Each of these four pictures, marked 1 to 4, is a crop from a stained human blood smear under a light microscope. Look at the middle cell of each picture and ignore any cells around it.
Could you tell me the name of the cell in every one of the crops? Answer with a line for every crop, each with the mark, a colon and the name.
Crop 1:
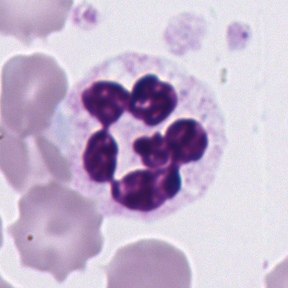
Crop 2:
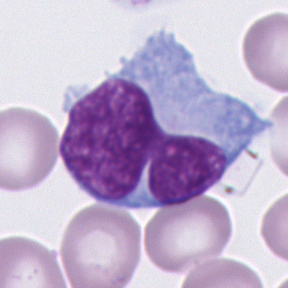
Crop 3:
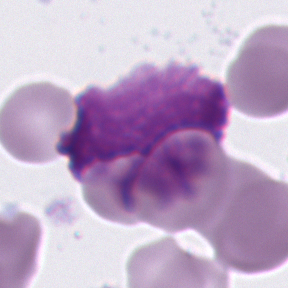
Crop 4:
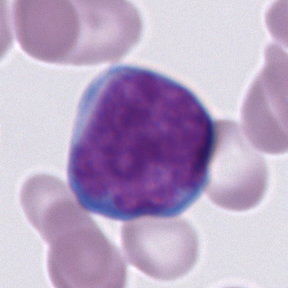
1: neutrophil
2: myeloblast
3: smudge cell
4: myeloblast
